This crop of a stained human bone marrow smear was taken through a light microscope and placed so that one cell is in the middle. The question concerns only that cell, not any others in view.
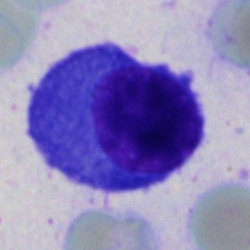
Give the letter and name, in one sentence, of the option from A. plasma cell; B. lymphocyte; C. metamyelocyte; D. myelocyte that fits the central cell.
The cell in the center of this crop is a plasma cell, so option A is the one to pick.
